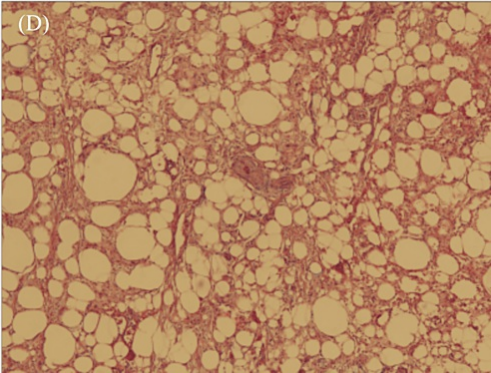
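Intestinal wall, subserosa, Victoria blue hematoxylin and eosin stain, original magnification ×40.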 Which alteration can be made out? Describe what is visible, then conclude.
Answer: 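Fibrosis in the adipose tissue. Empty rounded fat vacuoles of varying size fill the field. Fat vacuoles are separated by thickened pink fibrous strands with scattered cells.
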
